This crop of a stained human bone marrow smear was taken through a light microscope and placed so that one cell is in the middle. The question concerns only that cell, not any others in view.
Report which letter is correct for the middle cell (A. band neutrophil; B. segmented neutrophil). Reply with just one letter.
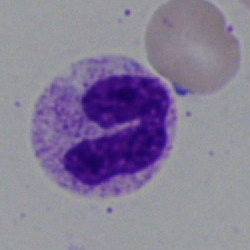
B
